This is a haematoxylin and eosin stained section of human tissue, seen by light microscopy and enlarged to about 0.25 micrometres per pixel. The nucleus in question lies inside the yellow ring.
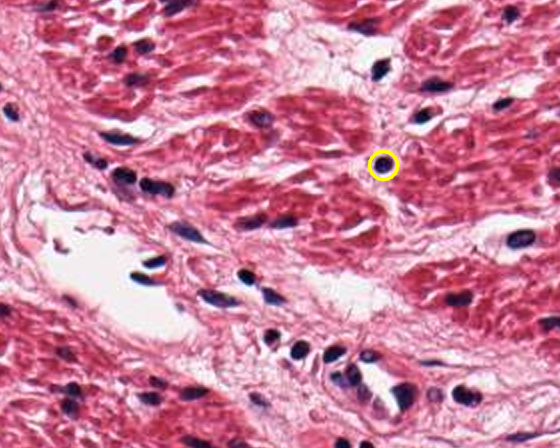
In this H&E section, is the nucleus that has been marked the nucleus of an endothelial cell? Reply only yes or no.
no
